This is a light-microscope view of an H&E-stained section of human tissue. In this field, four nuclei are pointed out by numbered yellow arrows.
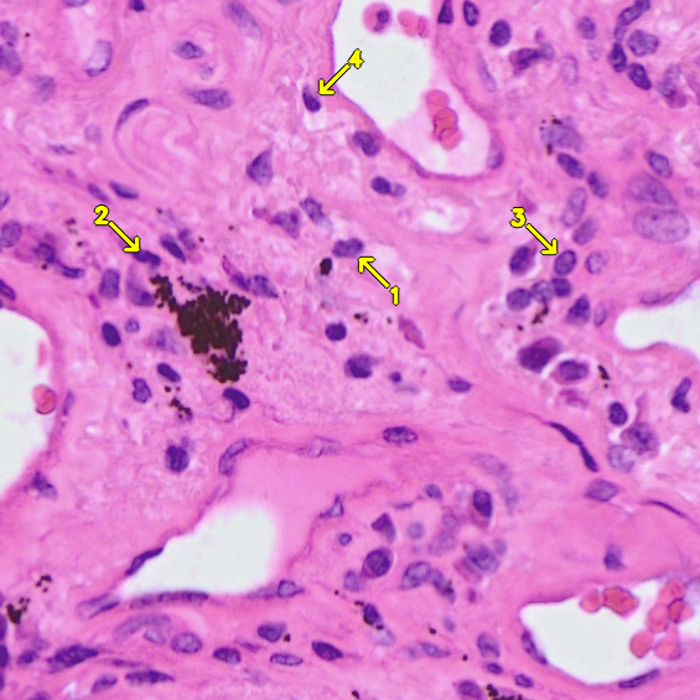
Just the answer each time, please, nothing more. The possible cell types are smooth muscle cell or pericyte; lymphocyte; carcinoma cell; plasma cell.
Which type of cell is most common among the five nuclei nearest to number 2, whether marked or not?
plasma cell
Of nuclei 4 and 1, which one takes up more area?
1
